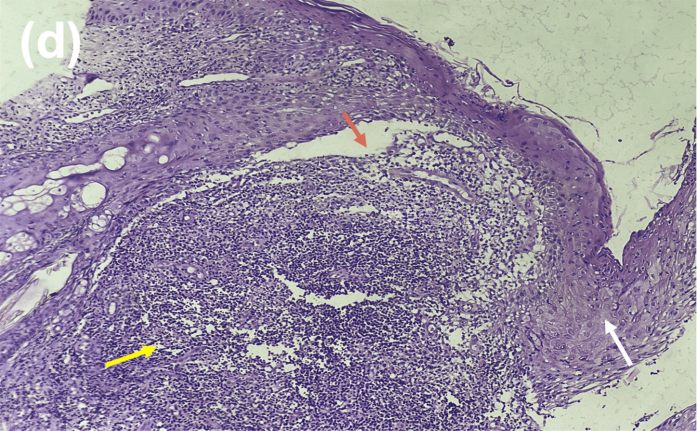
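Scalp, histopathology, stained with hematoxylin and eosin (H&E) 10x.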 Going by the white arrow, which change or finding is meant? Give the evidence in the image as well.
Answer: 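The white arrow points at a broad band of pink, stratified epithelium on the right. The epithelial layer there is many cells thick.
Hence: acanthosis.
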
